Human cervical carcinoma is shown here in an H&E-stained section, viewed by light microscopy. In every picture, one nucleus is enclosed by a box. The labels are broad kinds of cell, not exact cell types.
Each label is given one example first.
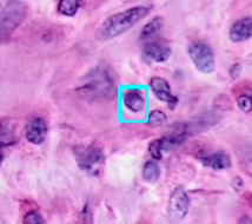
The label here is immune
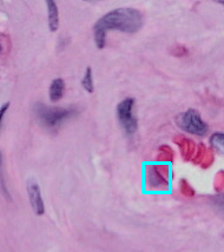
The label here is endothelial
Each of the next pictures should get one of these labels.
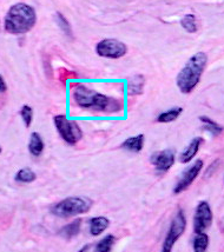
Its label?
endothelial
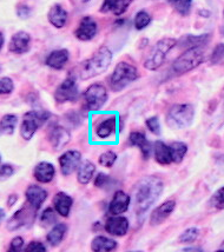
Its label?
immune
